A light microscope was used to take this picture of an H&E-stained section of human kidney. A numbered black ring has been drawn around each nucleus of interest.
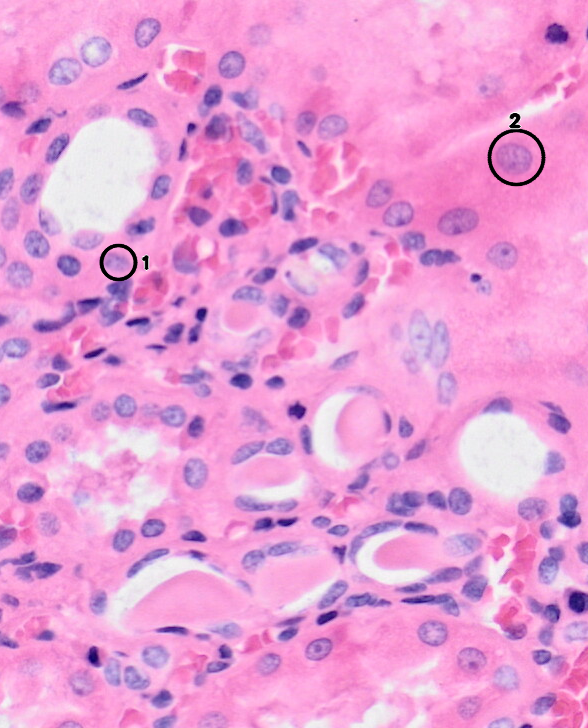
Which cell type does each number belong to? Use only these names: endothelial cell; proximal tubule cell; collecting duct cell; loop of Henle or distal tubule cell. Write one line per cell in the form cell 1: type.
cell 1: loop of Henle or distal tubule cell
cell 2: proximal tubule cell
